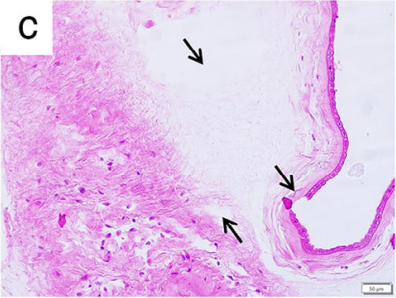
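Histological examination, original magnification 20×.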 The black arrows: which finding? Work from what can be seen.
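Clear structural damage. A broad pale, nearly acellular zone lies between the layers where the arrows point. The layered structure of the membrane is disrupted and frayed.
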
